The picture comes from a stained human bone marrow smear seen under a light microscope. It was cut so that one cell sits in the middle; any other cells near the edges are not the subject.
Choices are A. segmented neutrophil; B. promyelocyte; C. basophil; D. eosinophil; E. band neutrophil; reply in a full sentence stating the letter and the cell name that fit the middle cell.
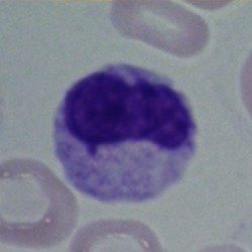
The central cell of the crop is a band neutrophil, which makes E the correct option.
